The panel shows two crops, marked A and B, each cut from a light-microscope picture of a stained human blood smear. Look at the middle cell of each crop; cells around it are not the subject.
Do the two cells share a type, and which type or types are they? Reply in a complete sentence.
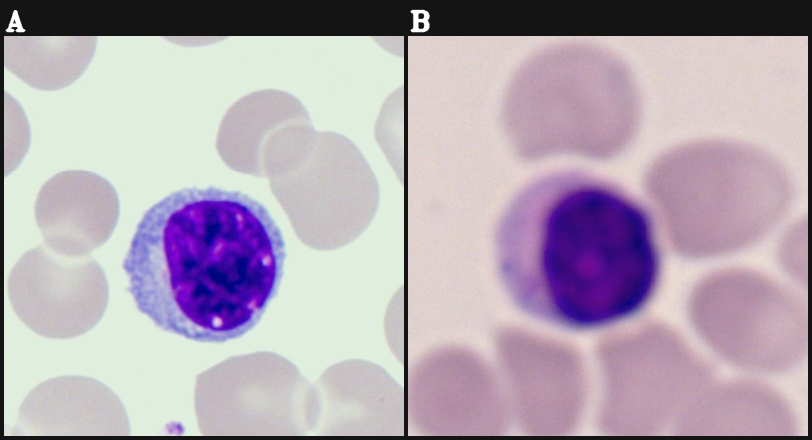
Yes, it is lymphocytes that sit at the centre of both crops.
